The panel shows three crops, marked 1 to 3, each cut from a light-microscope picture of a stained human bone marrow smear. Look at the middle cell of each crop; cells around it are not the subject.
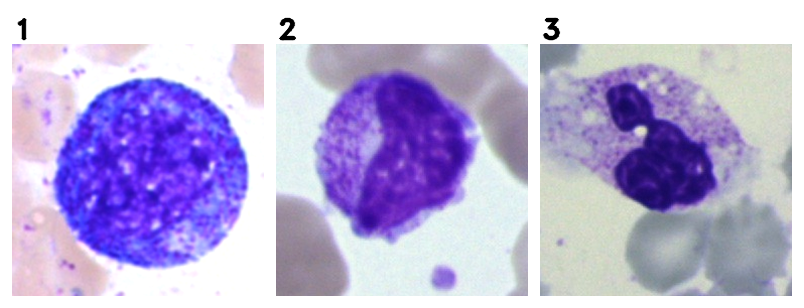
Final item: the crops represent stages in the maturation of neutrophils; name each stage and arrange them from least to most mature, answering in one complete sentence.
From least to most mature, the sequence is given by crop 1 (a promyelocyte), crop 2 (a metamyelocyte) and crop 3 (a segmented neutrophil).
